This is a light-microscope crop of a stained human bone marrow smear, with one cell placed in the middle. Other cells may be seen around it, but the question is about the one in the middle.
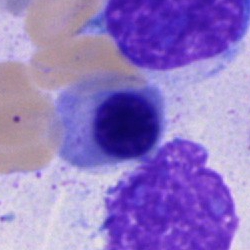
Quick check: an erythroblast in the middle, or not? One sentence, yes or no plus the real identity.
Yes, it is an erythroblast that is seen at the centre of the crop.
